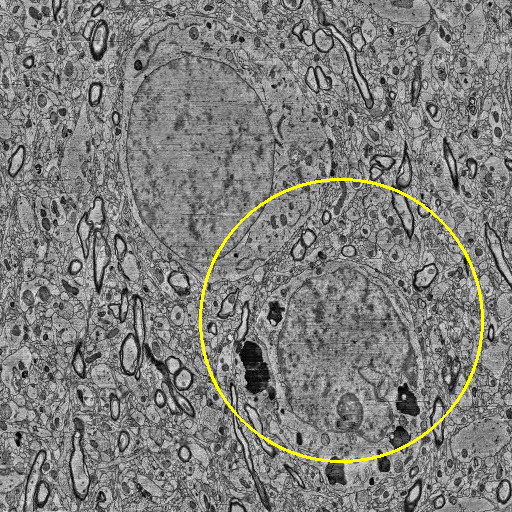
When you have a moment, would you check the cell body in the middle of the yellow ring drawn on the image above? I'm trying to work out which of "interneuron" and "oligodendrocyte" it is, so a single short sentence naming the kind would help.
This cell body belongs to an interneuron.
